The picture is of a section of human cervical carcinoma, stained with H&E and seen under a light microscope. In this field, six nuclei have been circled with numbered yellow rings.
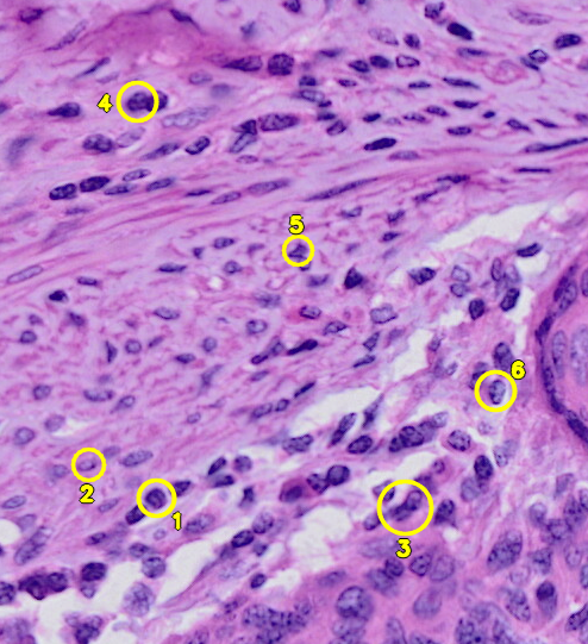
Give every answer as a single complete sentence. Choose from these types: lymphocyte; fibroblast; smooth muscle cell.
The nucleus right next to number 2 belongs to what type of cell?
Closest to number 2 lies the nucleus of a smooth muscle cell.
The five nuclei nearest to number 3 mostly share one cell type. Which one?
The majority of the five nuclei closest to number 3 belong to lymphocytes.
